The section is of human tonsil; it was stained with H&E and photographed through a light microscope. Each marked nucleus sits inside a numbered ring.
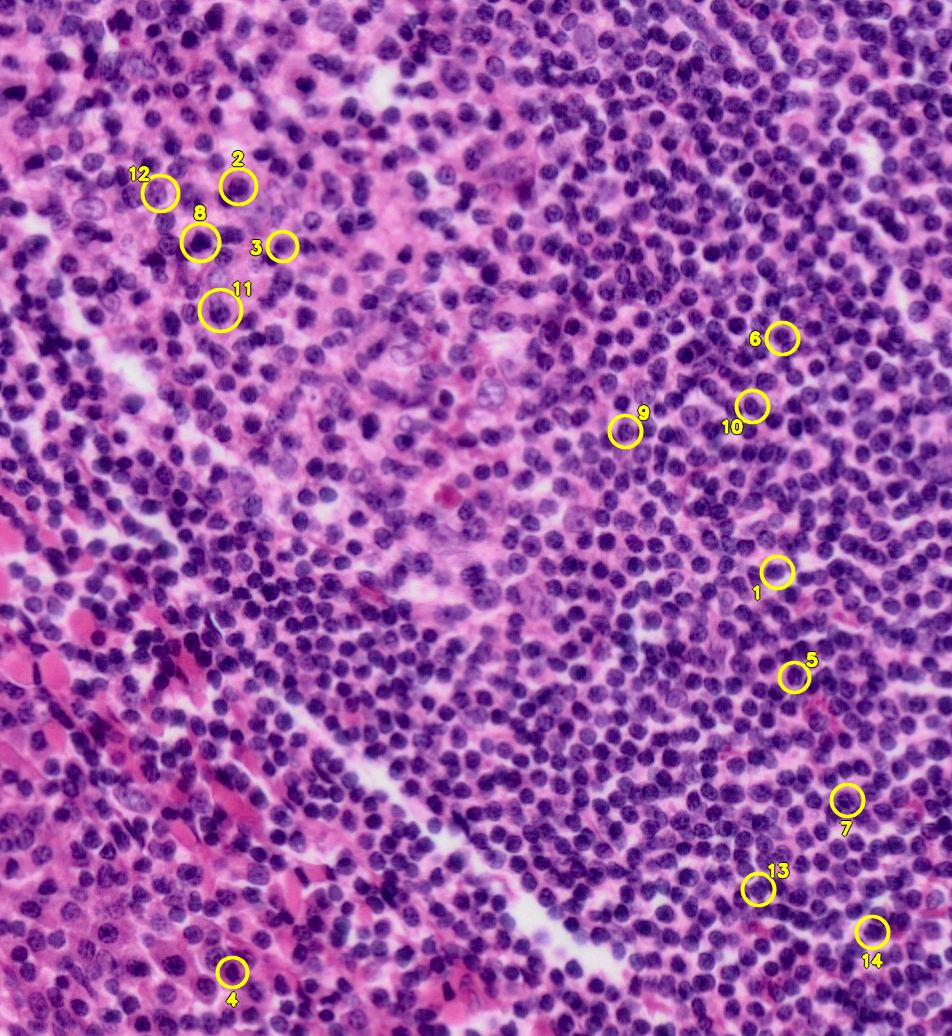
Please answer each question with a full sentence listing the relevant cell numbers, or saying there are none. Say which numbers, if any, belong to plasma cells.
Only the cell at mark 4 is a plasma cell, and no other marked cell is.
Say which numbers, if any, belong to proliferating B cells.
Into the category of proliferating B cells fall the cells numbered 2, 3, 8, 11 and 12.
